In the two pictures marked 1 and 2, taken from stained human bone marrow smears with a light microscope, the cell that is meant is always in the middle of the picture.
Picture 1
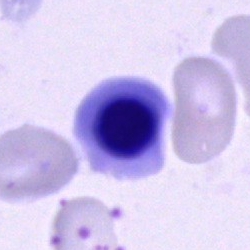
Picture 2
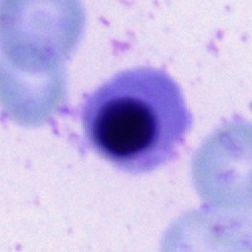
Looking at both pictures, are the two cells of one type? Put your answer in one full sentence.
Yes, both cells are erythroblasts.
